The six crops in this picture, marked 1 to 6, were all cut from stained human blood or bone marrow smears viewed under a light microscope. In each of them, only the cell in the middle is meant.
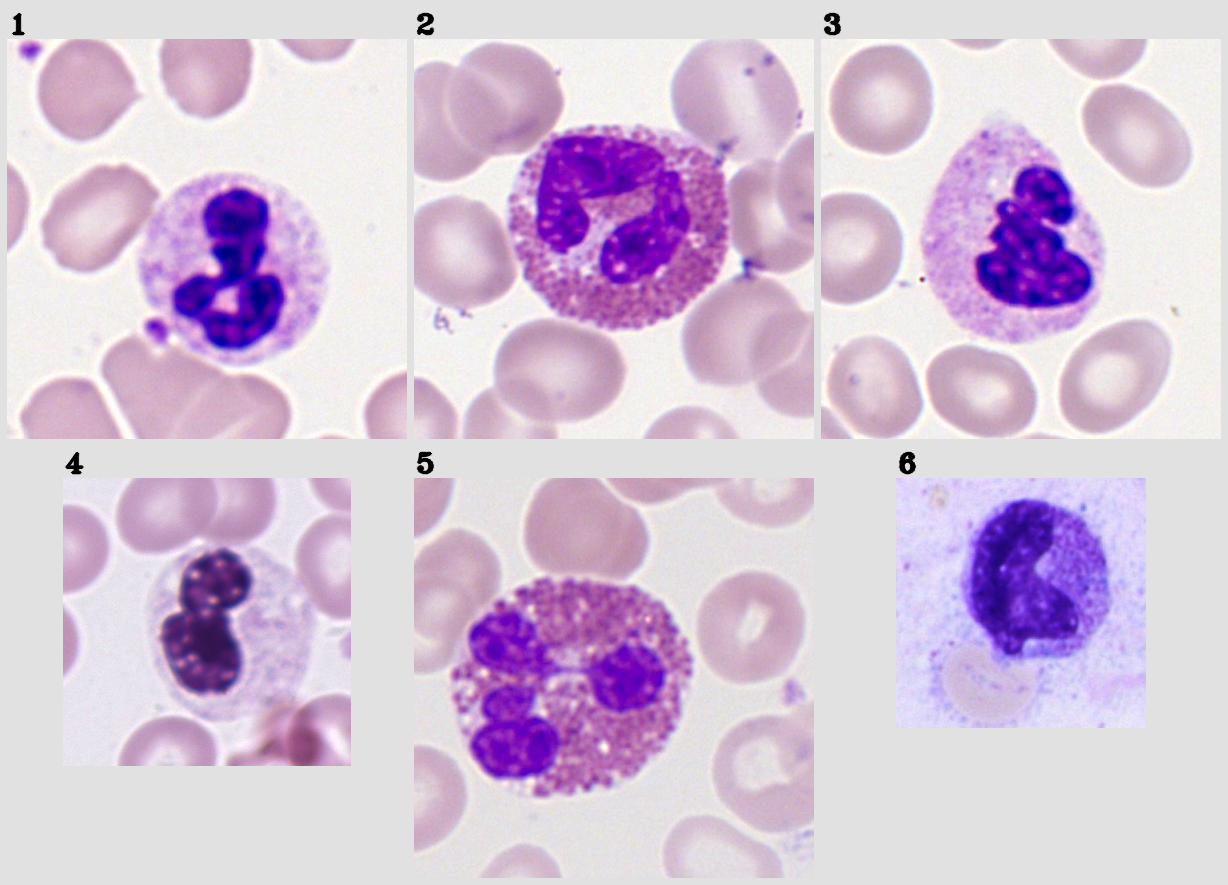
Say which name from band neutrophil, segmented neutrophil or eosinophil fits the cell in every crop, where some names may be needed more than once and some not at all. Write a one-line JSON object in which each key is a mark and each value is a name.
{"1": "segmented neutrophil", "2": "eosinophil", "3": "segmented neutrophil", "4": "segmented neutrophil", "5": "eosinophil", "6": "band neutrophil"}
